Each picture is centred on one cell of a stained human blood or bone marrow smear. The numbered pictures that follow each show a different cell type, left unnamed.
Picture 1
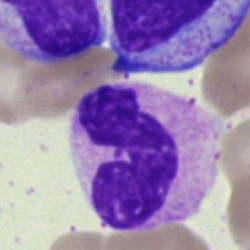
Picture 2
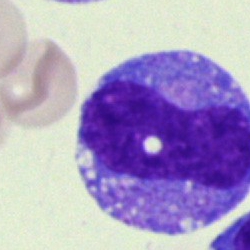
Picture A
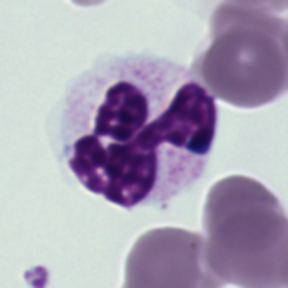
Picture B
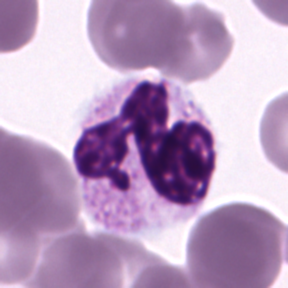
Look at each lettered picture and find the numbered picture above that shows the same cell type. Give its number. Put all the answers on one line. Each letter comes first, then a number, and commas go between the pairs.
A 1, B 1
